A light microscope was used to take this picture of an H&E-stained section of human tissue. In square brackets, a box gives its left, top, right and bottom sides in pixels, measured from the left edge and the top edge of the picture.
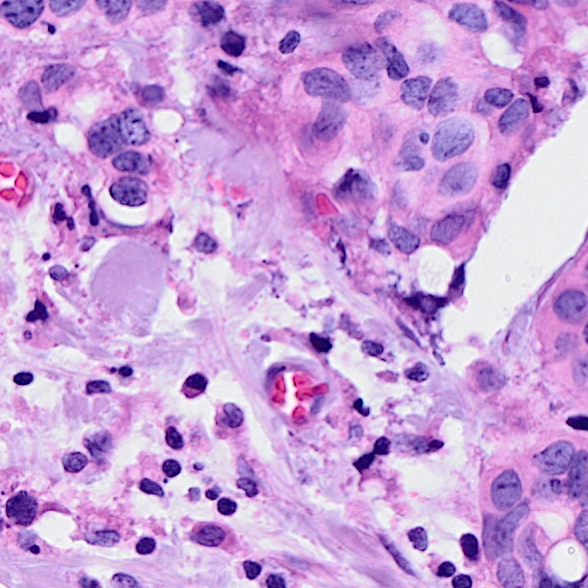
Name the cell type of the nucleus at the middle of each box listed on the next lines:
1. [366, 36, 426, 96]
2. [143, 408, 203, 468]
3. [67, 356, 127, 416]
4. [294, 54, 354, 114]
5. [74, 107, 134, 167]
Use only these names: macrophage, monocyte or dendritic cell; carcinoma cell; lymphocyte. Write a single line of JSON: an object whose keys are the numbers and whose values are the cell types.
{"1": "carcinoma cell", "2": "lymphocyte", "3": "lymphocyte", "4": "carcinoma cell", "5": "carcinoma cell"}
